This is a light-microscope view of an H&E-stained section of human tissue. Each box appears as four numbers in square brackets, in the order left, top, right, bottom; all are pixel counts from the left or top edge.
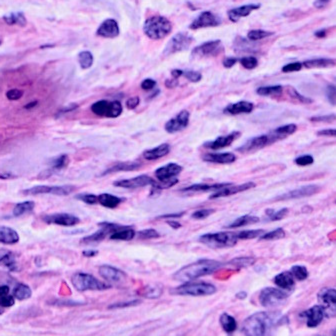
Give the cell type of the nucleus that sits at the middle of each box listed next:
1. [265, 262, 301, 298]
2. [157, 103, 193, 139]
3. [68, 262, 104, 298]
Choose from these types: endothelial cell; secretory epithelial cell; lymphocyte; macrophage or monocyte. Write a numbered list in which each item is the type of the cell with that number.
1. lymphocyte
2. lymphocyte
3. endothelial cell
